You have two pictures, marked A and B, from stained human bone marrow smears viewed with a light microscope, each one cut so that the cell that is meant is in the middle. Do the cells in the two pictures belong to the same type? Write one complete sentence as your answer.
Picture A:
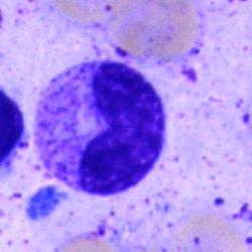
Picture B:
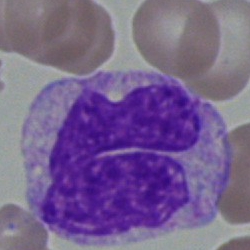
No. Picture A shows a metamyelocyte, but picture B shows a monocyte.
